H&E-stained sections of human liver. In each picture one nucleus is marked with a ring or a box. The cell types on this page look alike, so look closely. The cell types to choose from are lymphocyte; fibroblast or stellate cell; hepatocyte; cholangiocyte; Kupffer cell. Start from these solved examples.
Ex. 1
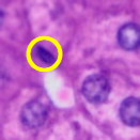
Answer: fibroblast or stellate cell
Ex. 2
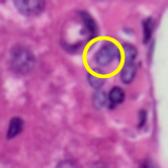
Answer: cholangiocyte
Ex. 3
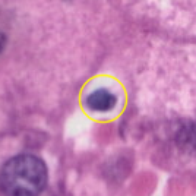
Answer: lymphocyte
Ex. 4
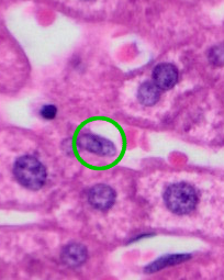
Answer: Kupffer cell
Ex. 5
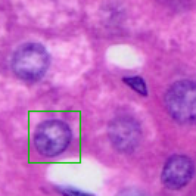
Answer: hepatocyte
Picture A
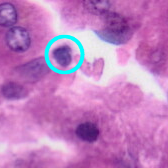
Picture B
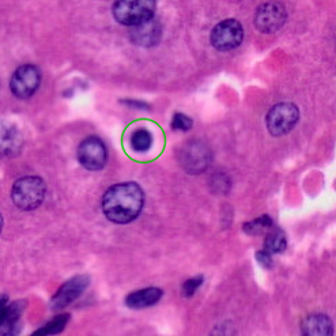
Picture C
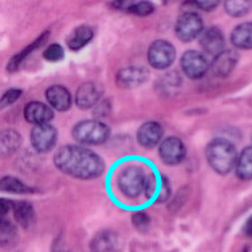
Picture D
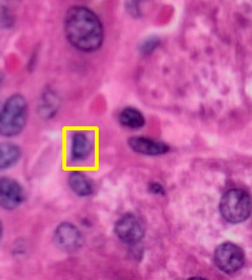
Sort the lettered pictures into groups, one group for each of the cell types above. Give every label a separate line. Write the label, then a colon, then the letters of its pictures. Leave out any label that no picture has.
lymphocyte: A, B
fibroblast or stellate cell: D
cholangiocyte: C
